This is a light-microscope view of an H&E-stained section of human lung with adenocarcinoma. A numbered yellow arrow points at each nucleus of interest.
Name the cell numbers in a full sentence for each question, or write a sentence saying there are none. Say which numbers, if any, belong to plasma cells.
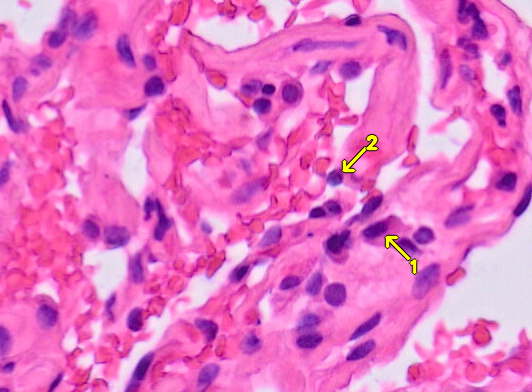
Of the numbered cells, only cell 1 is a plasma cell.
